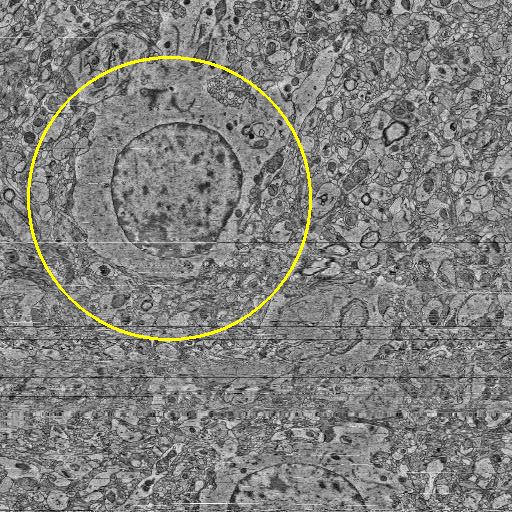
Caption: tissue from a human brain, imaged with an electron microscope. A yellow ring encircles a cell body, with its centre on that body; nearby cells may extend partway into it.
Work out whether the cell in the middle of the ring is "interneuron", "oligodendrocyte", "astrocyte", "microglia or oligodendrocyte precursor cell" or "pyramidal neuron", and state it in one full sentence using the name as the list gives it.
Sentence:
In the picture, the cell that the yellow ring surrounds at its centre is an astrocyte.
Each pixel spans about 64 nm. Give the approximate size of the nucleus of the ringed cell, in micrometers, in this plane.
Roughly 9 micrometers across, in this plane.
